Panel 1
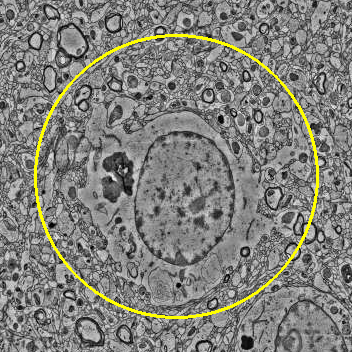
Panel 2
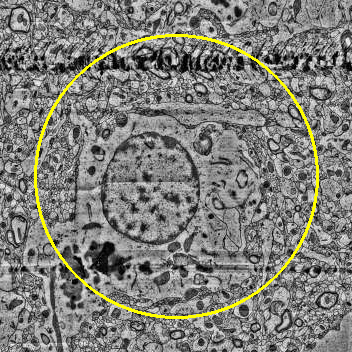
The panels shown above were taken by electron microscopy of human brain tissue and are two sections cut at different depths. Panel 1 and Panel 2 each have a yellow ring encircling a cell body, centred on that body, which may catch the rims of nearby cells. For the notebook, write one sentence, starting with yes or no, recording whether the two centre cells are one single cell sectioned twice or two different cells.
No, the two rings in this image mark separate cells.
